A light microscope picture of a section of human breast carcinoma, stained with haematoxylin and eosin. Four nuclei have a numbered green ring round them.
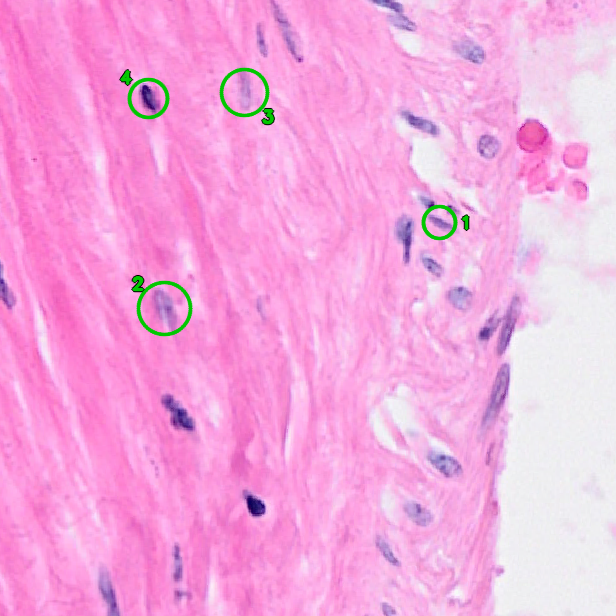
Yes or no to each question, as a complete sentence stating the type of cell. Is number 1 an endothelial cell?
Yes, the cell whose number is 1 is an endothelial cell.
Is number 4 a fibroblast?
No, not a fibroblast: the cell with number 4 is a lymphocyte.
